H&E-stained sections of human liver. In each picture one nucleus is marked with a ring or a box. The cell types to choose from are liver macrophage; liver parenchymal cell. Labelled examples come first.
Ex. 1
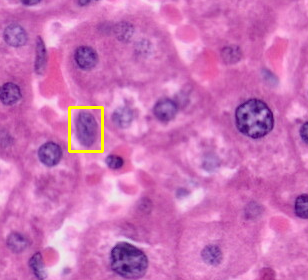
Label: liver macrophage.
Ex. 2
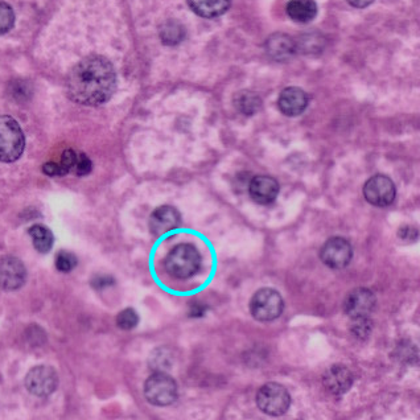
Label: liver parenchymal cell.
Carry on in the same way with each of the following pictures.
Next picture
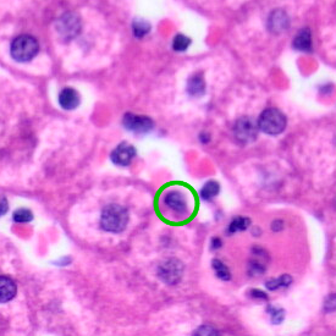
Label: liver macrophage.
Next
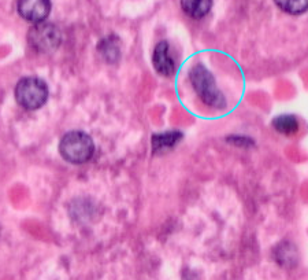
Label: liver macrophage.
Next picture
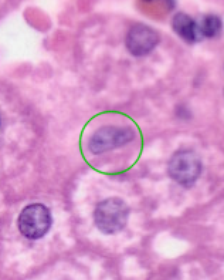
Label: liver macrophage.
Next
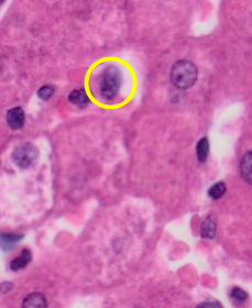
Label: liver macrophage.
